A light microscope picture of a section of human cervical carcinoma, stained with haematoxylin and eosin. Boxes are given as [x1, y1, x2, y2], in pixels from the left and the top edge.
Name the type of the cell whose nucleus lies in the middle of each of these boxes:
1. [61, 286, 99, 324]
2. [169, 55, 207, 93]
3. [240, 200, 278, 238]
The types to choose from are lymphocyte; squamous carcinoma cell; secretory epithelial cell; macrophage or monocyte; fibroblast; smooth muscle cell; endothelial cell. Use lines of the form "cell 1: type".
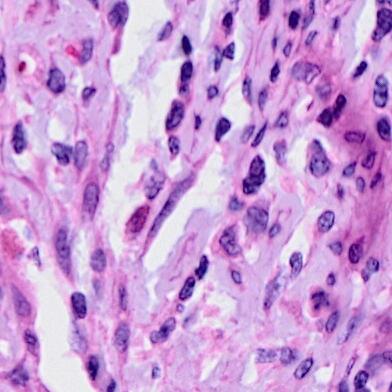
cell 1: lymphocyte
cell 2: lymphocyte
cell 3: macrophage or monocyte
